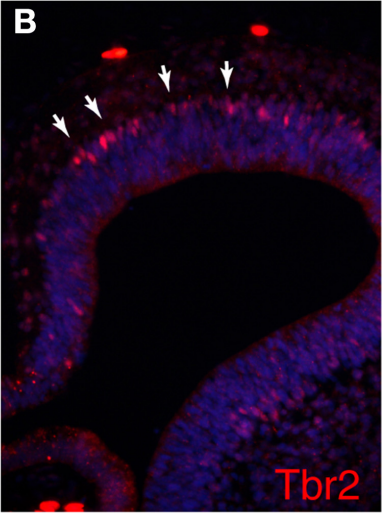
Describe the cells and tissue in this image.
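The nuclei of this layer are crowded and elongated, stacked many deep across the wall. Beyond the wall a few larger, very bright red spots lie outside the tissue.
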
